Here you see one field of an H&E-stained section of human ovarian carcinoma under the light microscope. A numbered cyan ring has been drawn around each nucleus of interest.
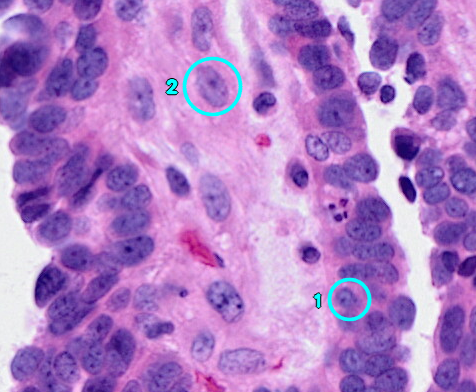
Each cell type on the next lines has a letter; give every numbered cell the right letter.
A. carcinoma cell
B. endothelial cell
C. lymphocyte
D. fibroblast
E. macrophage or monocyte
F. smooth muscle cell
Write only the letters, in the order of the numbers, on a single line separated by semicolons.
A; D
